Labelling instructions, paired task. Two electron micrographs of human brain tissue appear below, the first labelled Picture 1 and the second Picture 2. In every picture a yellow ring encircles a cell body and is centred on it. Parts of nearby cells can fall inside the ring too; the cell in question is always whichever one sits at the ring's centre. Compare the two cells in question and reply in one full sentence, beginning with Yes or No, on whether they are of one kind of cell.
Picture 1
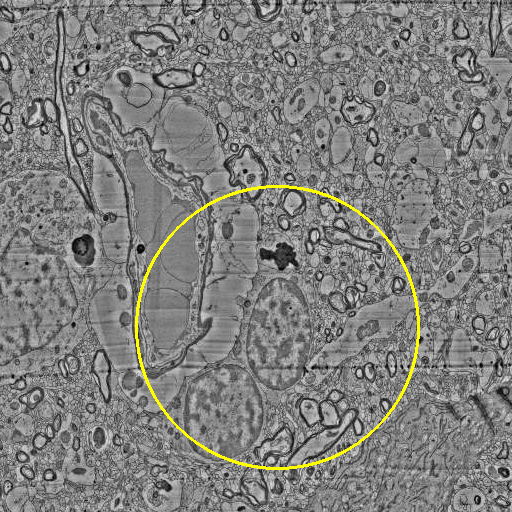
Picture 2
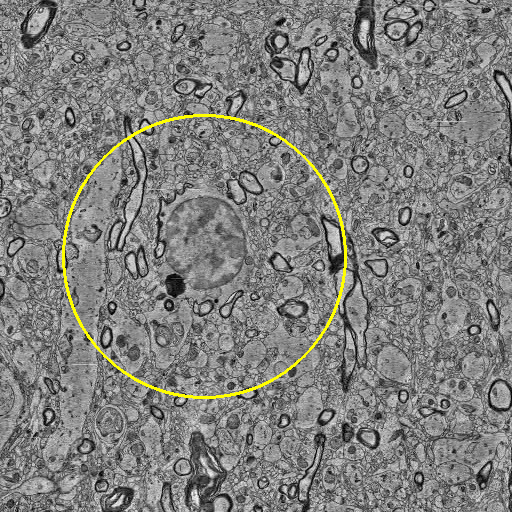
Yes, the two cells at the ring centres in Picture 1 and Picture 2 are of one kind.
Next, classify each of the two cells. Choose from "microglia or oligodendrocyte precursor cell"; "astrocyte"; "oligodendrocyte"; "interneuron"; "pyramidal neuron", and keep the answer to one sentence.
Both cells are the same kind, each one being an oligodendrocyte.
